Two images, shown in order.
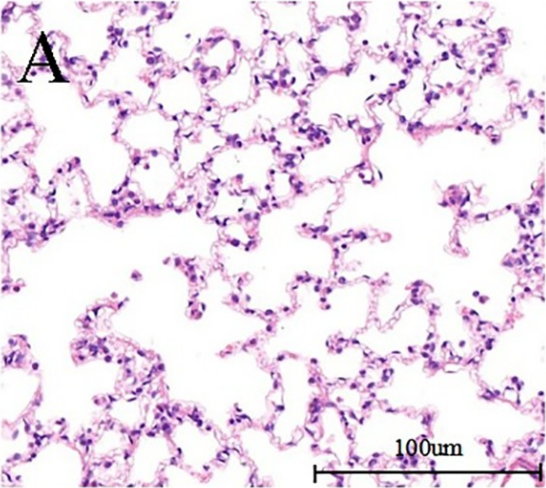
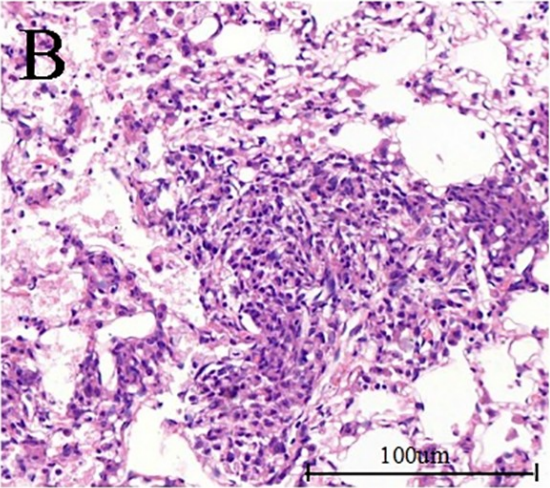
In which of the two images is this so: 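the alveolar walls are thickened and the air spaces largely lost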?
The second image.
